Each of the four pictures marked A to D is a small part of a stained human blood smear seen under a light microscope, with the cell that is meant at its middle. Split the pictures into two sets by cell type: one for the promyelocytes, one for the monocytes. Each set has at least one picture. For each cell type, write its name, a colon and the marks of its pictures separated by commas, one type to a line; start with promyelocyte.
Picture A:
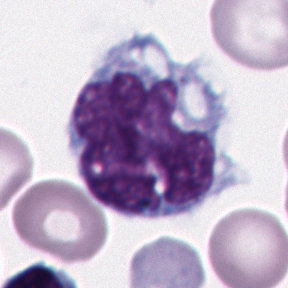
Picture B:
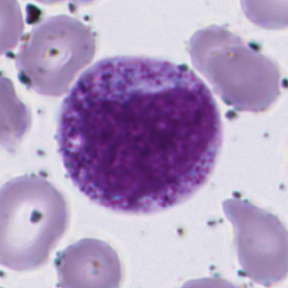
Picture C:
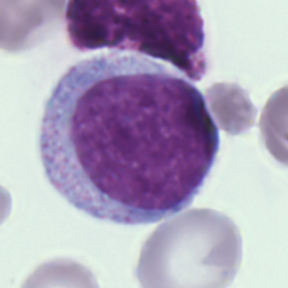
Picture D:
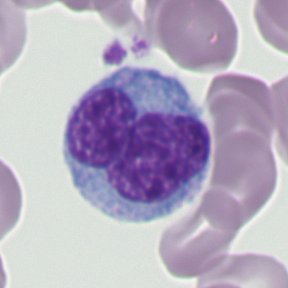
promyelocyte: B, C
monocyte: A, D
